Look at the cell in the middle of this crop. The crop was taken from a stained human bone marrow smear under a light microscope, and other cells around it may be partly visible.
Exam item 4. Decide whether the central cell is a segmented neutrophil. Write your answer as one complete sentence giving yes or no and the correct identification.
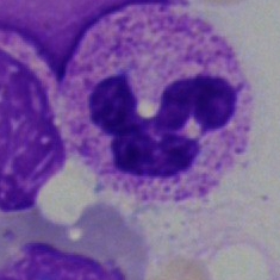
Yes, the cell lying in the centre of the crop is identified as a segmented neutrophil.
